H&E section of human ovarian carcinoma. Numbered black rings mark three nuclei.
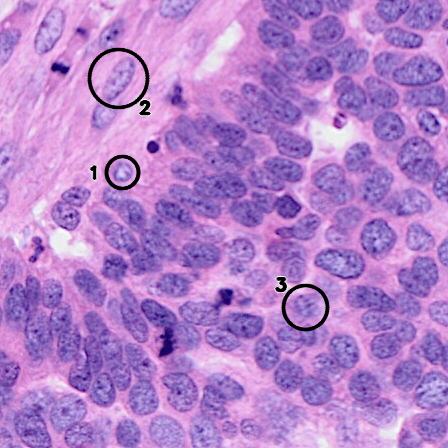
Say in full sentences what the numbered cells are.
Cell 1 is a fibroblast, cell 2 is a fibroblast and cell 3 is a carcinoma cell.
